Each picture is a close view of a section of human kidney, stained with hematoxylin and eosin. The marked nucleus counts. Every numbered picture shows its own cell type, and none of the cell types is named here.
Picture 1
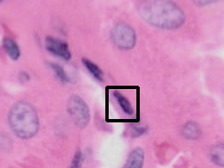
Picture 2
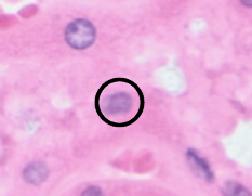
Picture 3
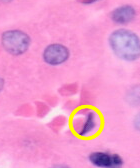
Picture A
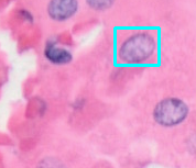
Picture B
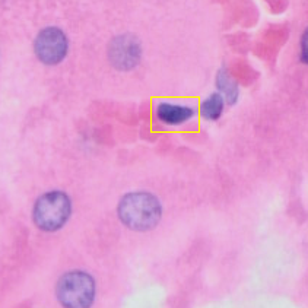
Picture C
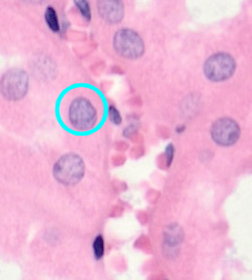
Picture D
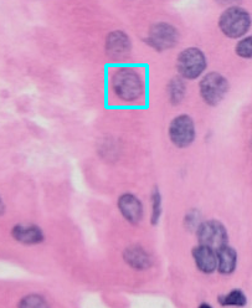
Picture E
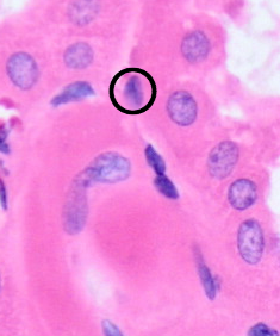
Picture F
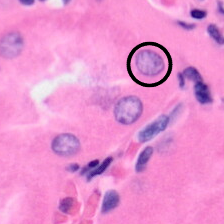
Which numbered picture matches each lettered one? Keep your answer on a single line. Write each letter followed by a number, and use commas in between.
A 2, B 3, C 2, D 2, E 3, F 2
